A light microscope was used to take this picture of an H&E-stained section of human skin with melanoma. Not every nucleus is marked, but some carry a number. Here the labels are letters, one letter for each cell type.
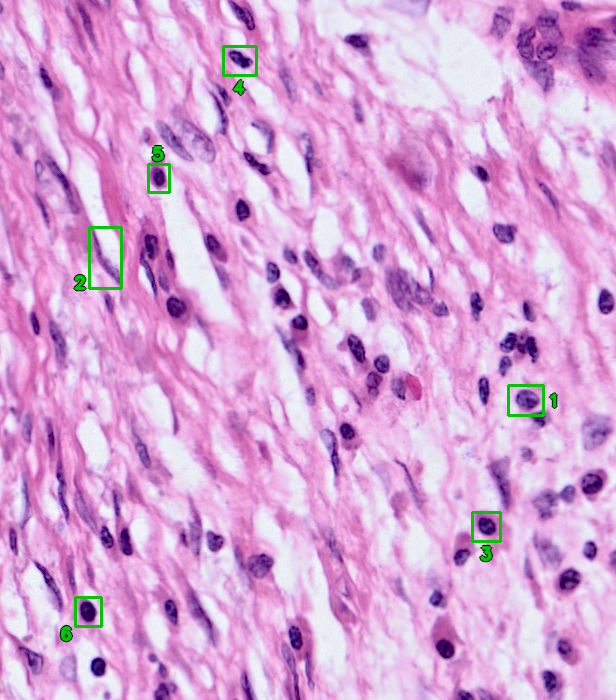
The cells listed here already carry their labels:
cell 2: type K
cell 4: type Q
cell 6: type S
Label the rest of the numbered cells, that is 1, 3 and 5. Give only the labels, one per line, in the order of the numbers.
type Q
type S
type S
